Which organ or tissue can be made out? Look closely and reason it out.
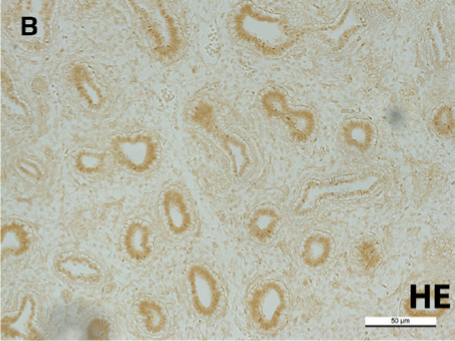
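Many small epithelium-lined tubules are scattered through loose mesenchyme. The tubule epithelium is brown-stained while the surrounding stroma is pale. That points to this answer: lung.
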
